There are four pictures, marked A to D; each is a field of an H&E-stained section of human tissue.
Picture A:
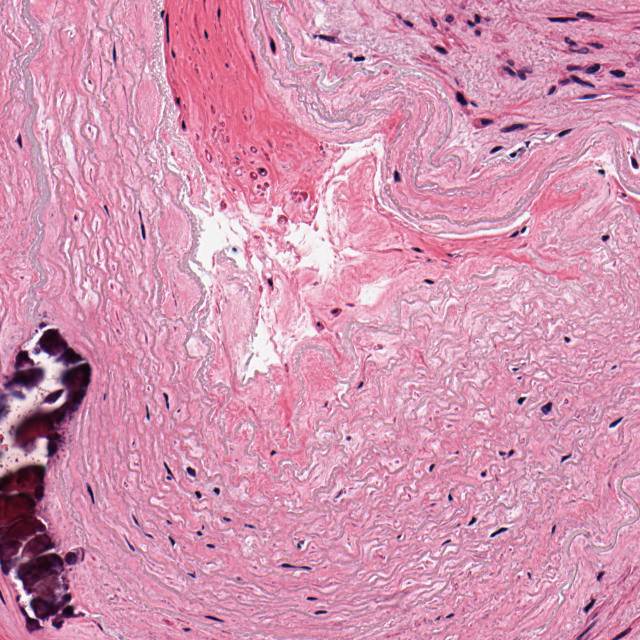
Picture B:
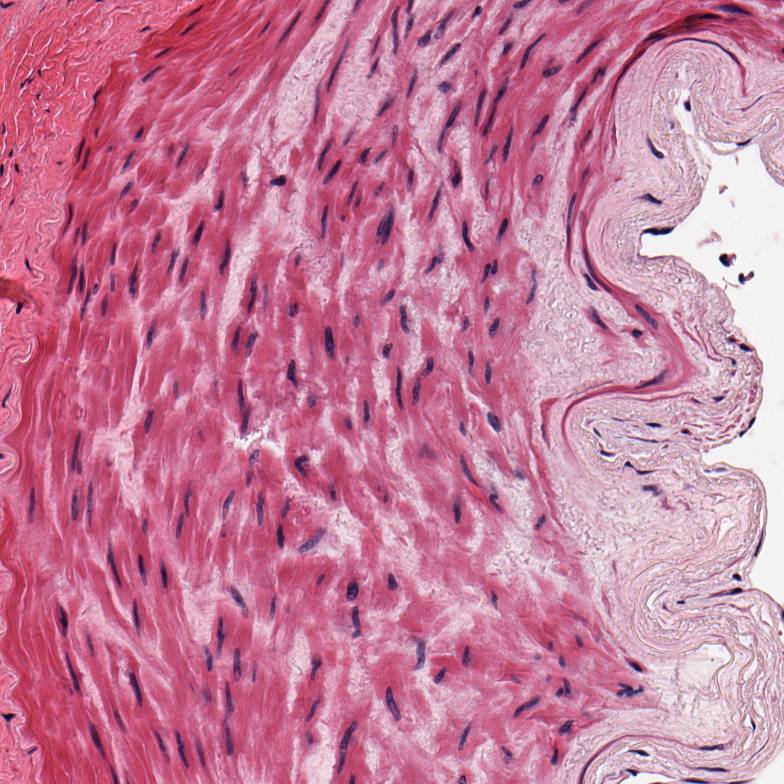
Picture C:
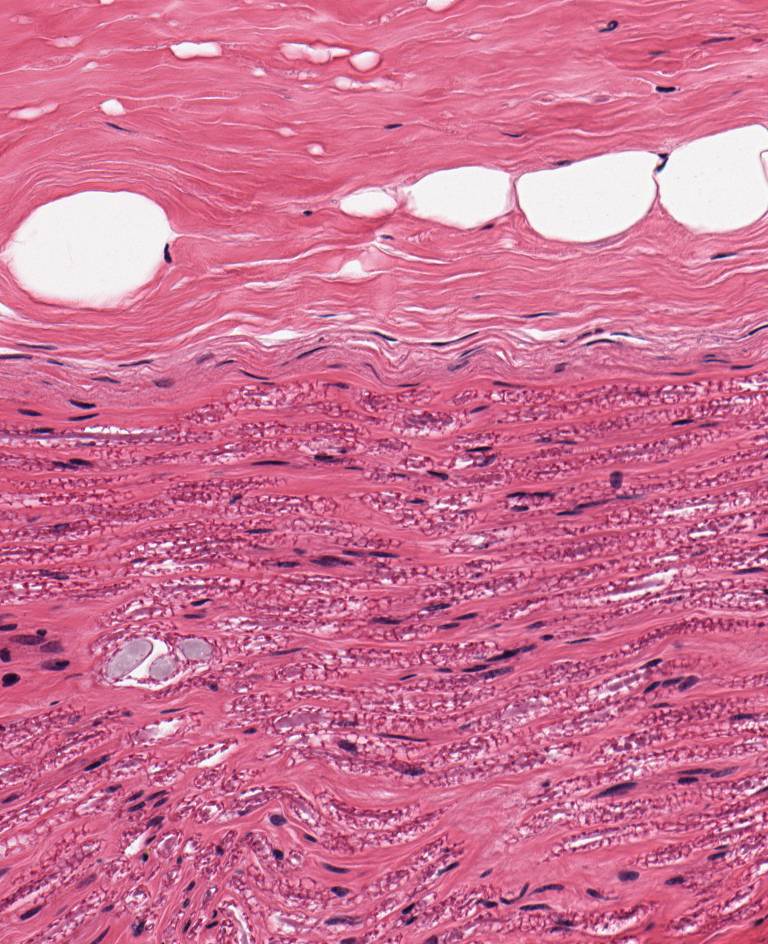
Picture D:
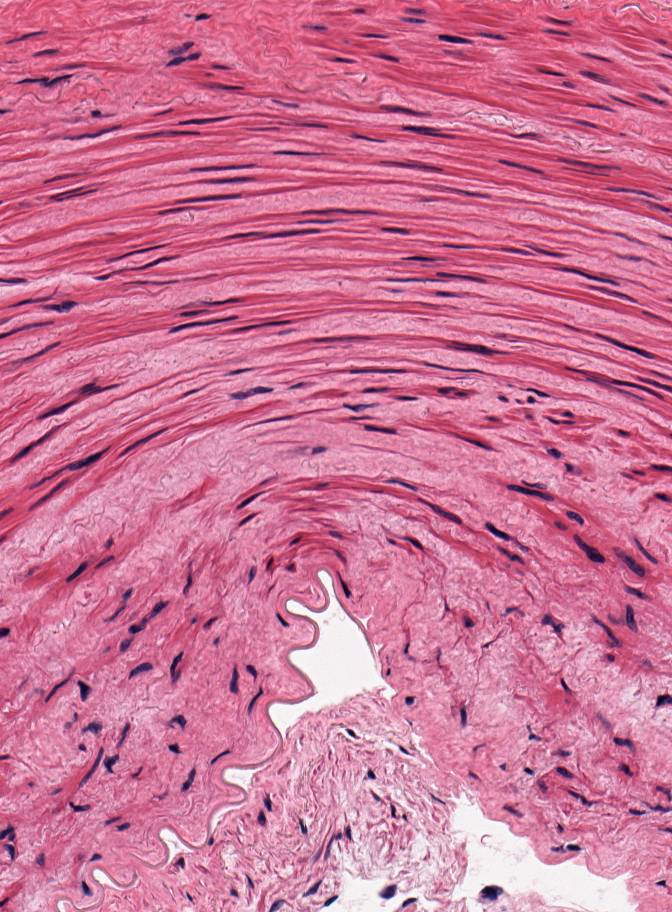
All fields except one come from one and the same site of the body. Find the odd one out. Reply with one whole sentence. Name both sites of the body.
Unlike the rest, which come from the tibial artery, picture C comes from the tibial nerve.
